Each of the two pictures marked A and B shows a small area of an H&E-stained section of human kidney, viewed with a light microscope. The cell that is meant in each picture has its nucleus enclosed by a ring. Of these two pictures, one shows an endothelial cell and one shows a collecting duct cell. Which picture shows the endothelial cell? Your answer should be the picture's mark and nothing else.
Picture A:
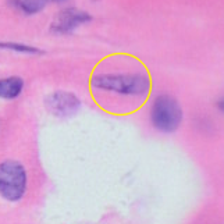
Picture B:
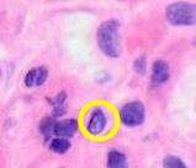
B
